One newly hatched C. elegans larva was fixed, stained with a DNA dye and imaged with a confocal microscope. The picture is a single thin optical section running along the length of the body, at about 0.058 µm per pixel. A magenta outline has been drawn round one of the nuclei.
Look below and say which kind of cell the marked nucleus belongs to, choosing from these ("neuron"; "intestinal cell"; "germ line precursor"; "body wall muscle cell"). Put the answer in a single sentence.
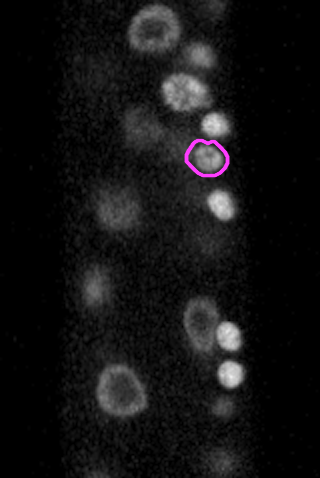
What is marked is the nucleus of a body wall muscle cell.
